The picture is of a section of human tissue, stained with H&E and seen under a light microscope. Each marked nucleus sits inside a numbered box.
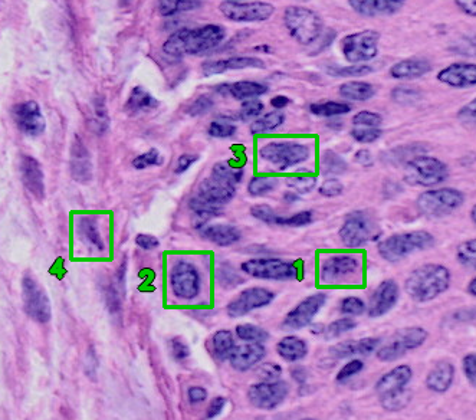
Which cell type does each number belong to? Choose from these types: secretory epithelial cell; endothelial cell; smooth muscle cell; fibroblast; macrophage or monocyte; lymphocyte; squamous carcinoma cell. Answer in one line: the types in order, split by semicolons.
squamous carcinoma cell; squamous carcinoma cell; squamous carcinoma cell; fibroblast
